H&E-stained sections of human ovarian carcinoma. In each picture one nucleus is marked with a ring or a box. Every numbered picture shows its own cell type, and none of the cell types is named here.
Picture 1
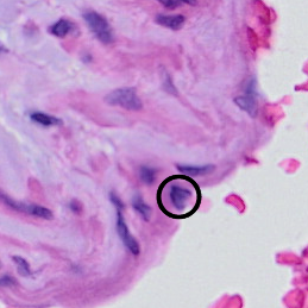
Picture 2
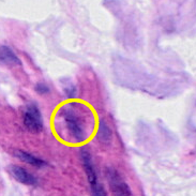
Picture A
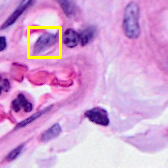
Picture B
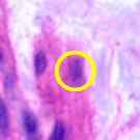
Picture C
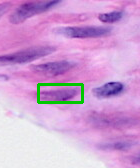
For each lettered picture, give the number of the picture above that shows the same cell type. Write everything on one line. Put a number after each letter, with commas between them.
A 1, B 2, C 2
